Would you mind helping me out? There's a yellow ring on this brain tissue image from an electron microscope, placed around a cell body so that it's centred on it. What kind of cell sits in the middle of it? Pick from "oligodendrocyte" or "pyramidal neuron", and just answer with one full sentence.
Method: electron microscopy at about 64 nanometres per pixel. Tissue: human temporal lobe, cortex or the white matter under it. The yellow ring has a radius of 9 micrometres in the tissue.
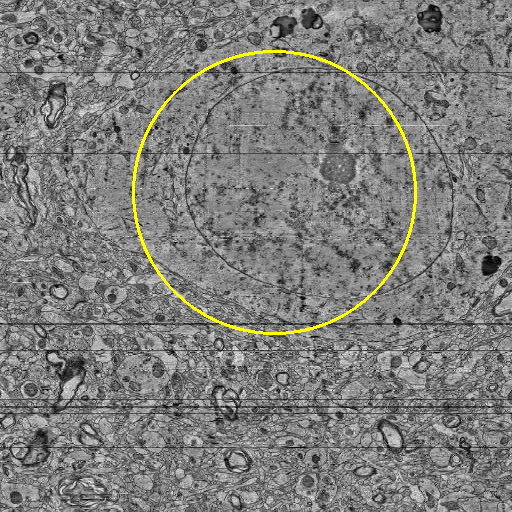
What sits in the middle of that yellow ring is a pyramidal neuron, from your choices.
